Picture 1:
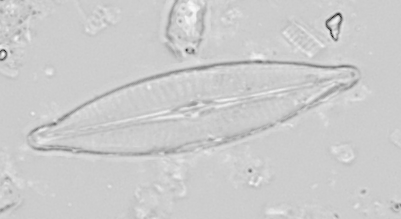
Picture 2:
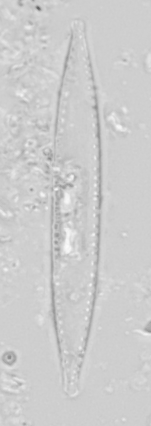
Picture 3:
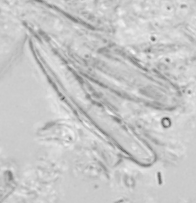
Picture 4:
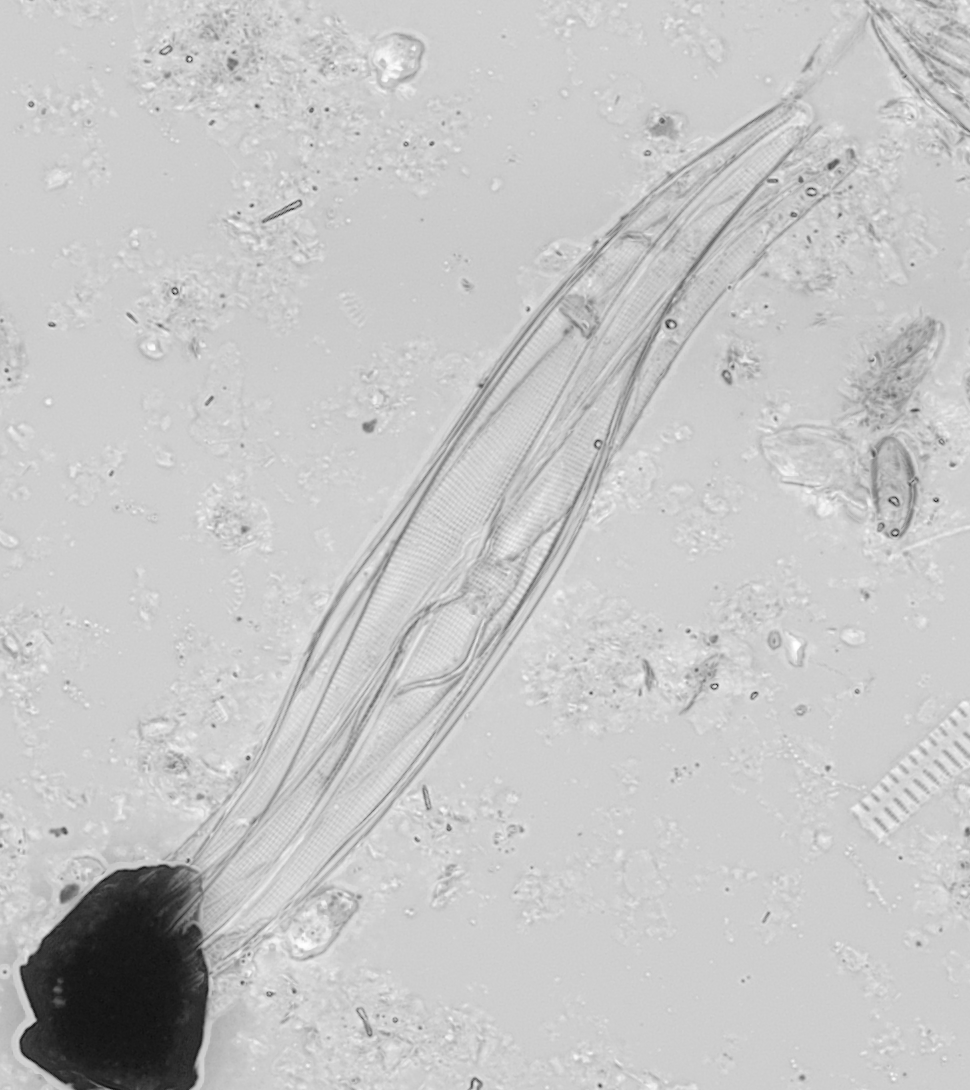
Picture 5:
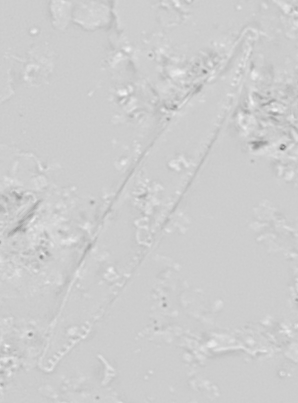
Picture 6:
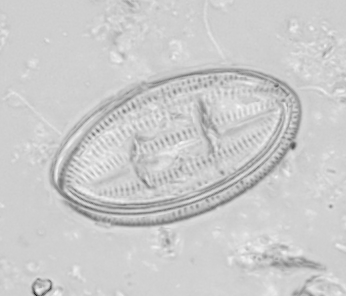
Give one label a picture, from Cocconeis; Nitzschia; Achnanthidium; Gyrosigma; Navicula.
Picture 1: Navicula
Picture 2: Nitzschia
Picture 3: Achnanthidium
Picture 4: Gyrosigma
Picture 5: Nitzschia
Picture 6: Cocconeis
